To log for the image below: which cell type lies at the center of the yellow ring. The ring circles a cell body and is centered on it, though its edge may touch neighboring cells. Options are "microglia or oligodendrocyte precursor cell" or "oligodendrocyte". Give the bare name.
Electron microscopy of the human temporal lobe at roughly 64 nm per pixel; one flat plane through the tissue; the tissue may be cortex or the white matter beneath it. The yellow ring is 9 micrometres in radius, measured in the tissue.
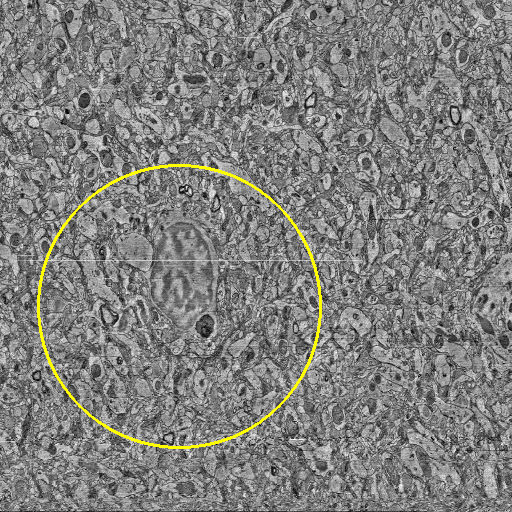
oligodendrocyte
